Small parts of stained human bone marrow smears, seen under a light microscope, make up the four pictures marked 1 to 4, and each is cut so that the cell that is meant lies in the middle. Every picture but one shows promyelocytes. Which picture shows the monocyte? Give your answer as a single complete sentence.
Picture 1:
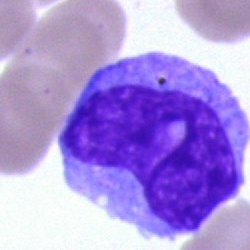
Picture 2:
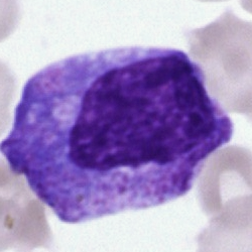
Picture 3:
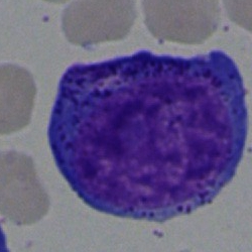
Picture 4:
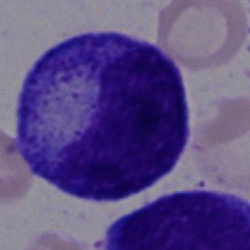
Picture 1 shows the monocyte.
